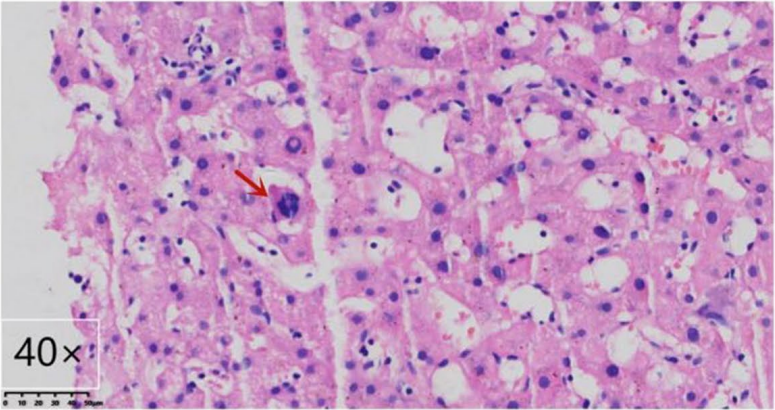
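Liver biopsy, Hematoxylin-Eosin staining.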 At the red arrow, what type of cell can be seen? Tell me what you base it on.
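Its nucleus is large, dark purple and lobulated or clumped. It lies in a space between hepatocyte plates with a clear halo around it.
Hence: megakaryocyte.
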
